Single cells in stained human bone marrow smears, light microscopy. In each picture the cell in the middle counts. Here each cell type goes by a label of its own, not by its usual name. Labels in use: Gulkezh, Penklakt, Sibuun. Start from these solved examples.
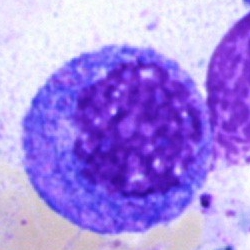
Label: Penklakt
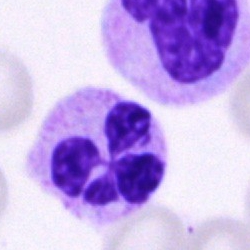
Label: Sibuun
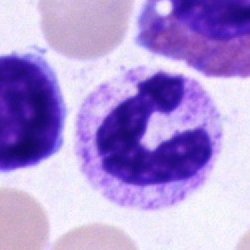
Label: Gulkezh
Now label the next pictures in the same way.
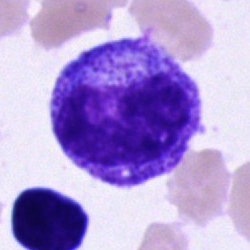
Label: Penklakt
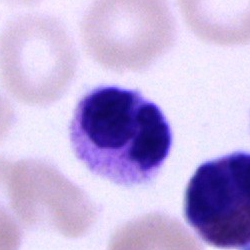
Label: Sibuun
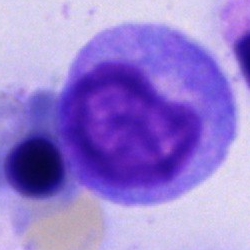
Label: Penklakt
